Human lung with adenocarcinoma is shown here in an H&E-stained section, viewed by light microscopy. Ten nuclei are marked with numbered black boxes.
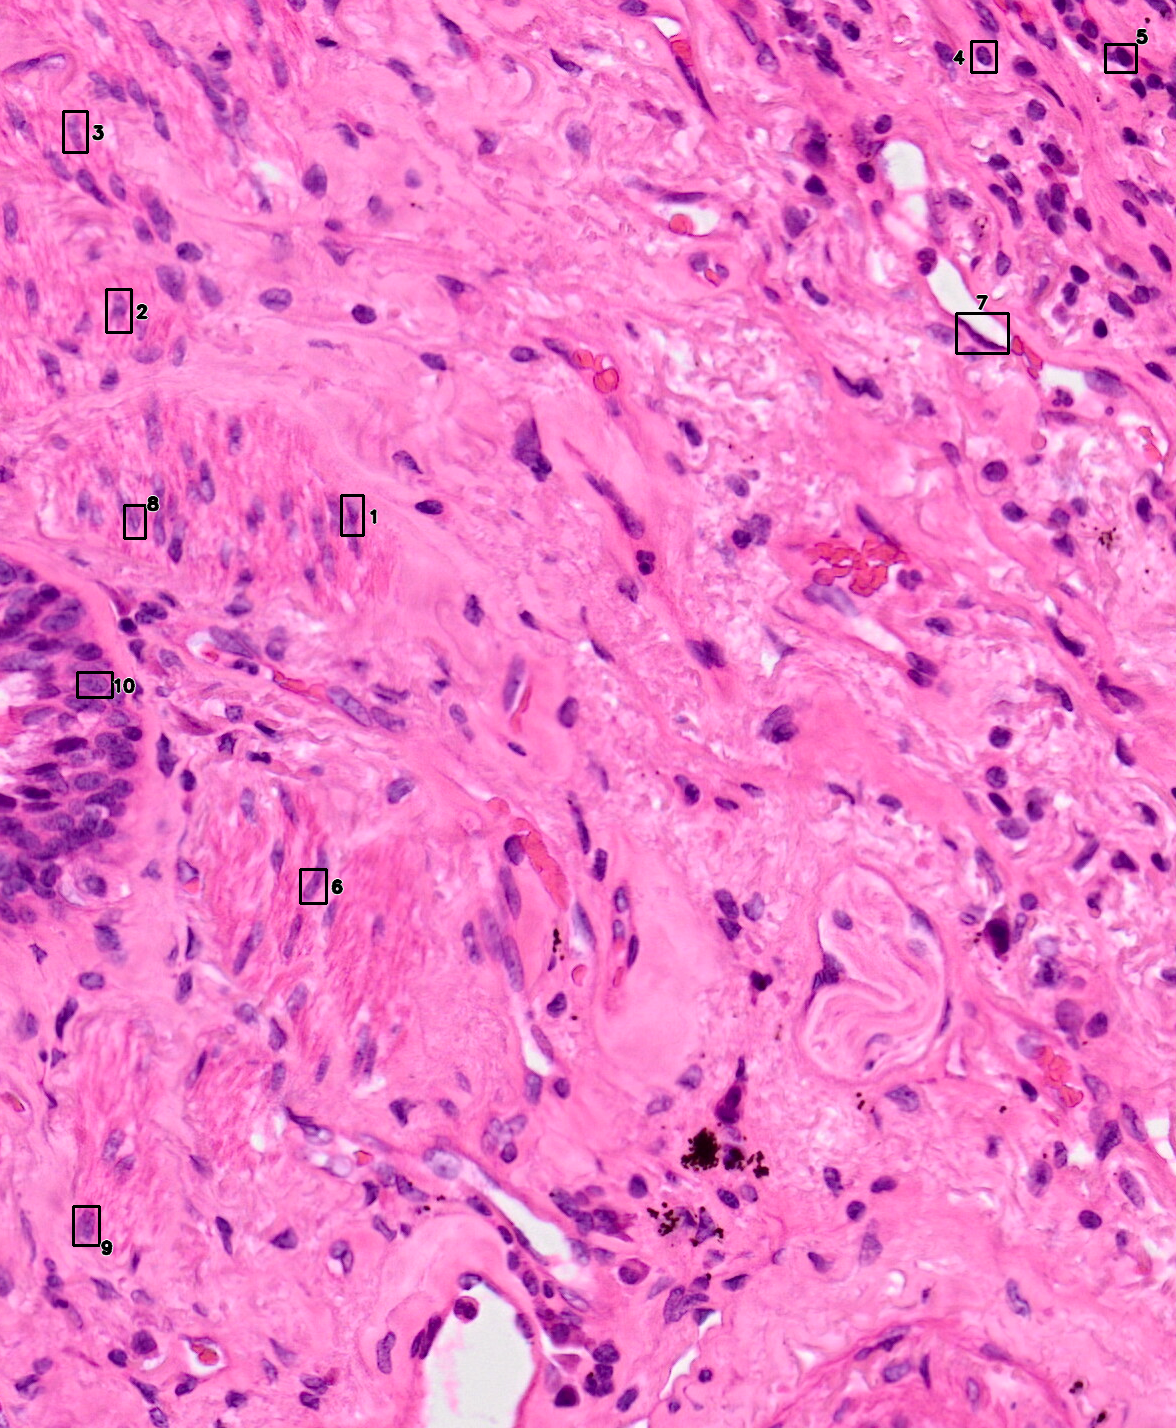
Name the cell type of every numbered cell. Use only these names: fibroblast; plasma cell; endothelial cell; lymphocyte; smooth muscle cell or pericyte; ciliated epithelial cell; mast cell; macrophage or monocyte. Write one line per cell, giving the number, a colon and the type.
1: smooth muscle cell or pericyte
2: smooth muscle cell or pericyte
3: smooth muscle cell or pericyte
4: lymphocyte
5: lymphocyte
6: smooth muscle cell or pericyte
7: endothelial cell
8: smooth muscle cell or pericyte
9: smooth muscle cell or pericyte
10: ciliated epithelial cell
